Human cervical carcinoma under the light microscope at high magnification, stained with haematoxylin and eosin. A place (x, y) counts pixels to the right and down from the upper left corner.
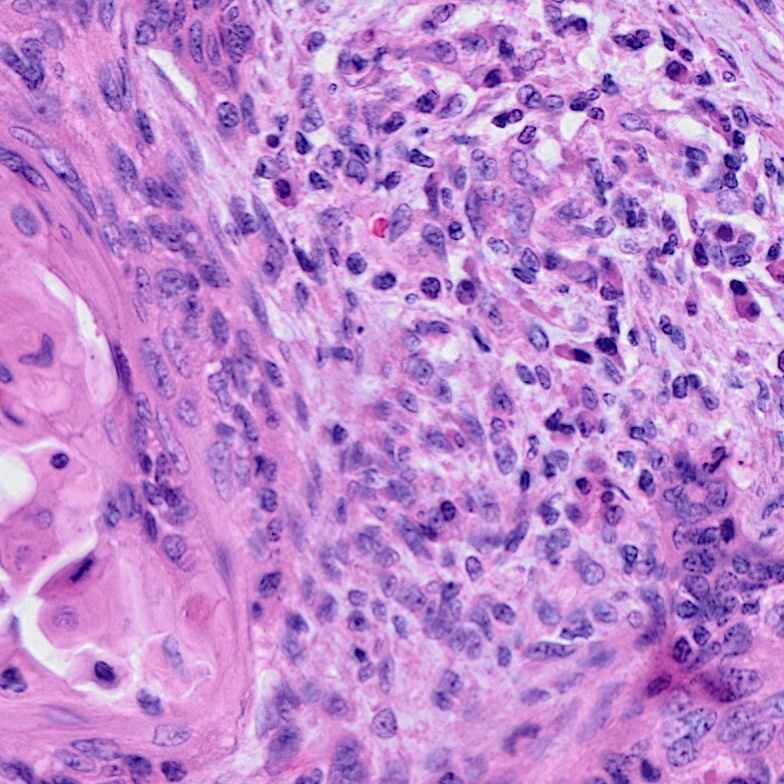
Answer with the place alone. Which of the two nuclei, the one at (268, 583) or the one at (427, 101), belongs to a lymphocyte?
(427, 101)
